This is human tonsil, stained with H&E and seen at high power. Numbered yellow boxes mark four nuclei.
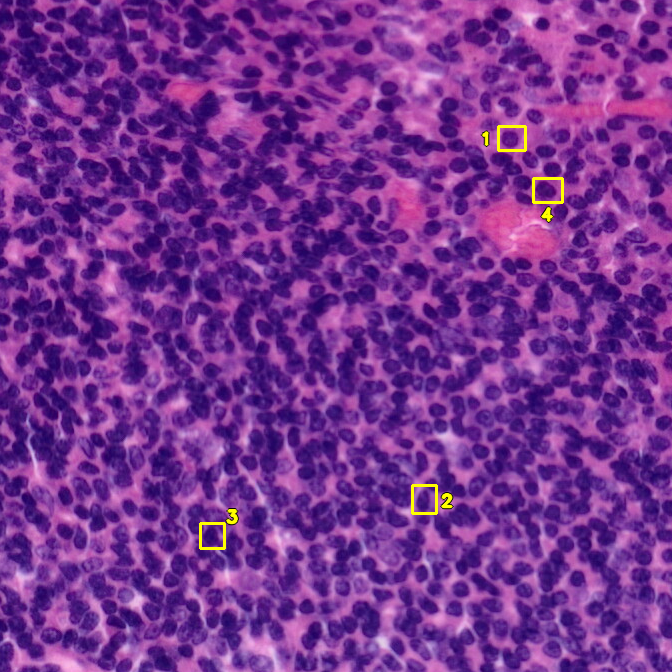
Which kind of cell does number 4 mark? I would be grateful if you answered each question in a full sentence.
The cell indicated with the number 4 is classed as a plasma cell.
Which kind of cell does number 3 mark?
The cell identified by number 3 is a small lymphocyte.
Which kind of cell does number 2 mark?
Classified as a small lymphocyte is the cell with the number 2.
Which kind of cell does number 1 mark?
Here the cell numbered 1 is a plasma cell.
